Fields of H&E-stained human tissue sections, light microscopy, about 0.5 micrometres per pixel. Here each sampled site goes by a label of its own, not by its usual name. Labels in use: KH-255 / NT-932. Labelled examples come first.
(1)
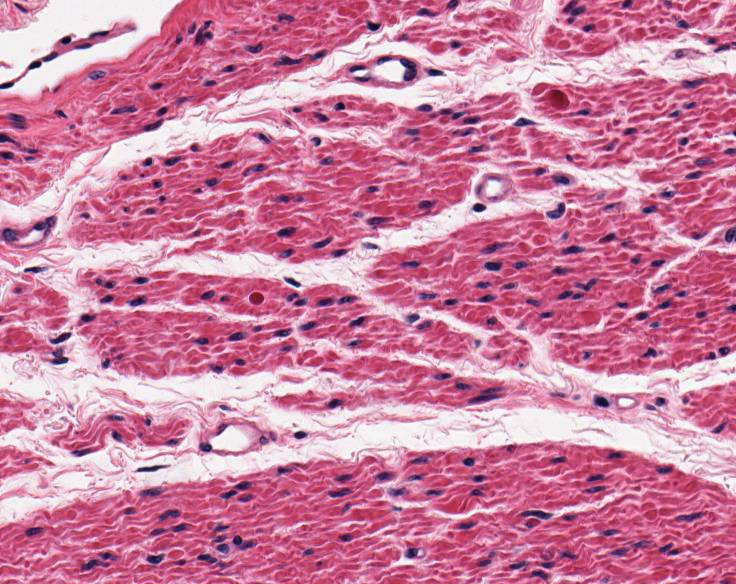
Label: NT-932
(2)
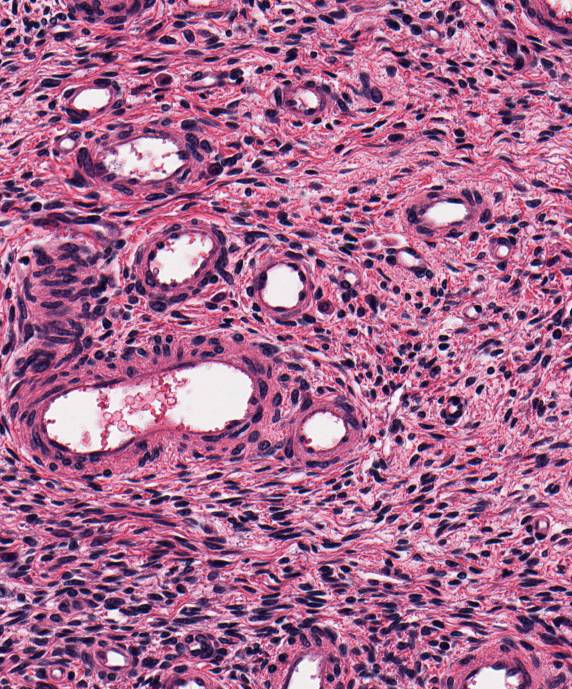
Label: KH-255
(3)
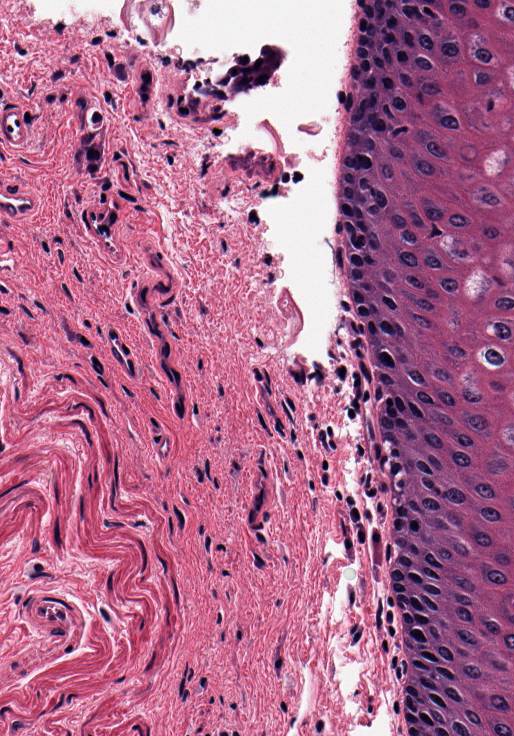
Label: NT-932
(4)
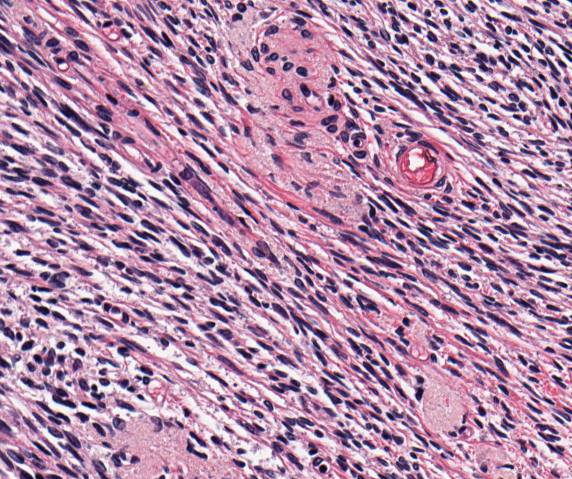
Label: KH-255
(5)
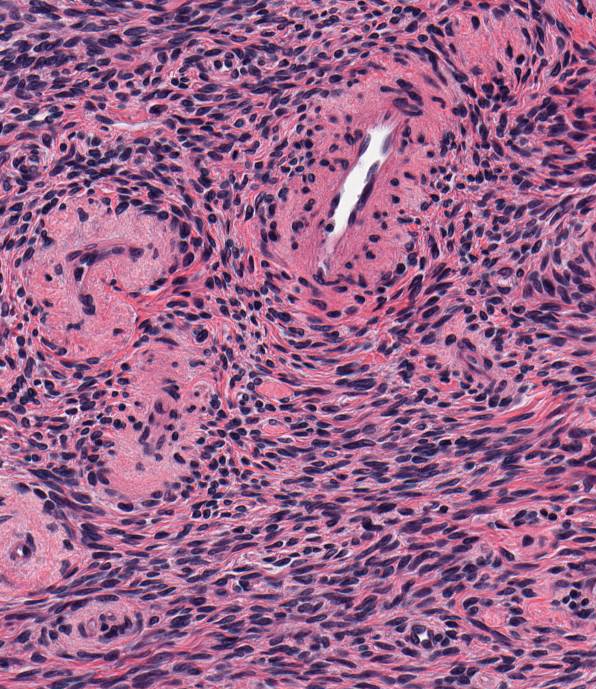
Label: KH-255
